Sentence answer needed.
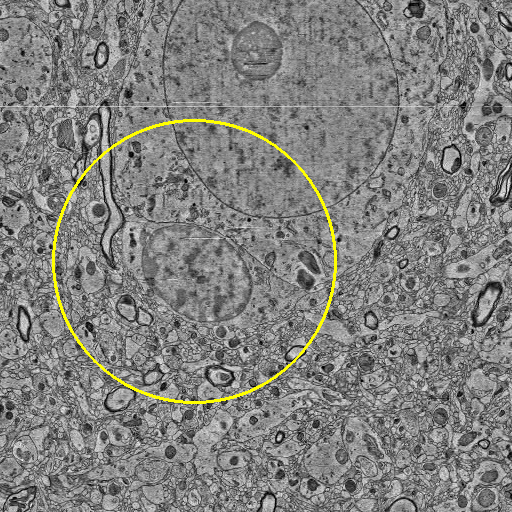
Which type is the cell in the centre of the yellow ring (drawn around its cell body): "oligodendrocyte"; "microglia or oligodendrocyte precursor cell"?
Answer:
In the centre of the yellow ring is an oligodendrocyte.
